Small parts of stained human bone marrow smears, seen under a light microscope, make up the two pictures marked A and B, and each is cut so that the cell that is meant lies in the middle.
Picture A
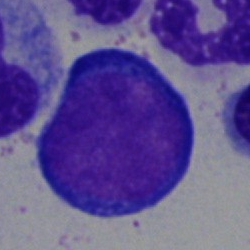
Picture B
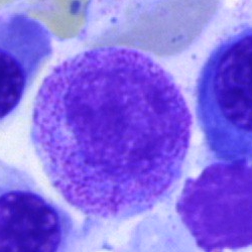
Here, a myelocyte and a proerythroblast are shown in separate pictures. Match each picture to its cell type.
A: proerythroblast
B: myelocyte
